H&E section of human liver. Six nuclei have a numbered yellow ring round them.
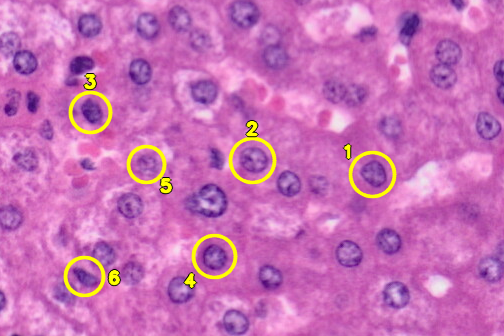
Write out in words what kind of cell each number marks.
Cell 1 is a hepatocyte, cell 2 is a hepatocyte, cell 3 is a fibroblast or stellate cell, cell 4 is a hepatocyte, cell 5 is a hepatocyte and cell 6 is a fibroblast or stellate cell.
